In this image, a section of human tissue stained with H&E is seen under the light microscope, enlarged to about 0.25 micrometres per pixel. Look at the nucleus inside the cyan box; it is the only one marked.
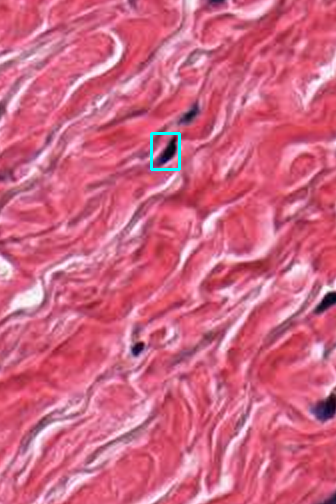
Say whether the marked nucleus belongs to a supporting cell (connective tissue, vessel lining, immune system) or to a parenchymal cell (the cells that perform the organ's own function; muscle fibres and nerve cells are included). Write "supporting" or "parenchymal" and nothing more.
supporting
